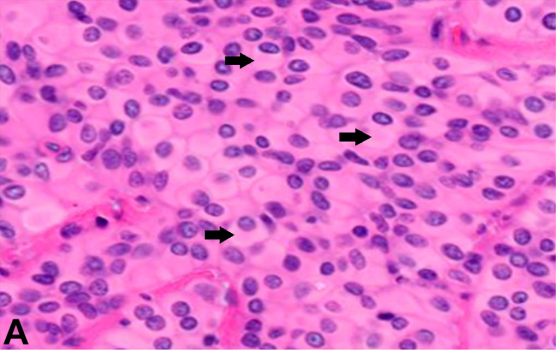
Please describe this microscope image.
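Sheets of tumor cells with abundant pink cytoplasm fill the field, separated by a few thin pink fibrous strands. The nuclei are round to oval, fairly uniform, with fine chromatin and small nucleoli, and many sit to one side of the cell.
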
